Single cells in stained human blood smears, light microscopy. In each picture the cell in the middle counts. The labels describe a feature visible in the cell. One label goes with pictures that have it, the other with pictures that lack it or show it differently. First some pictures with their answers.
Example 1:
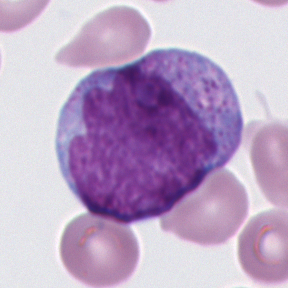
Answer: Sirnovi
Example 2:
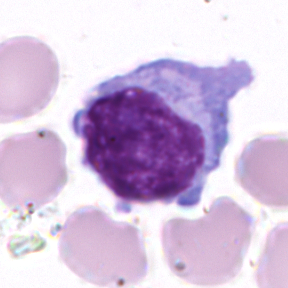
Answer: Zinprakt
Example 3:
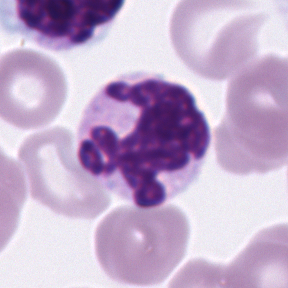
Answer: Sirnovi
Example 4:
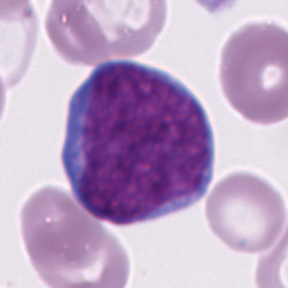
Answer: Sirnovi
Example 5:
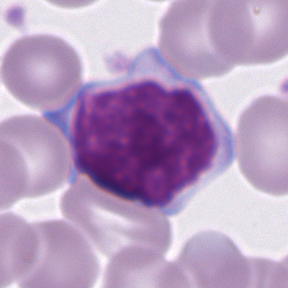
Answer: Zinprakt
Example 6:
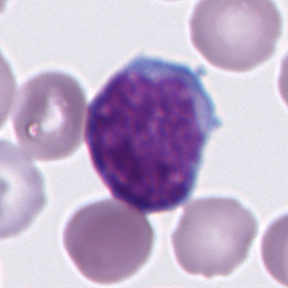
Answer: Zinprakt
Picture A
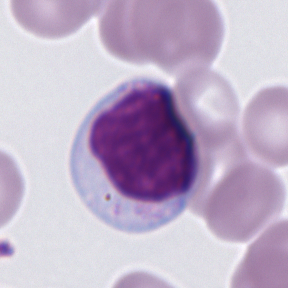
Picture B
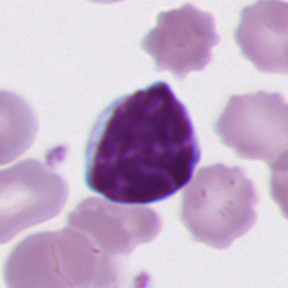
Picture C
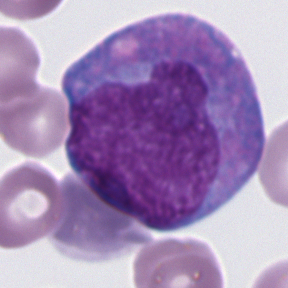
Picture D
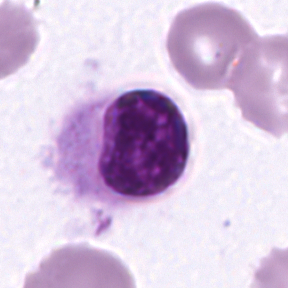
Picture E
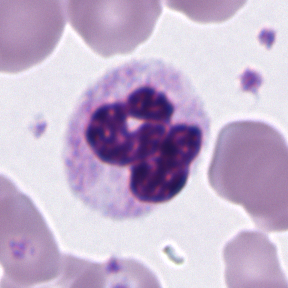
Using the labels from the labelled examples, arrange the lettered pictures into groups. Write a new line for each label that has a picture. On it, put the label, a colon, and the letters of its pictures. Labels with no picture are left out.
Sirnovi: A, B, C, E
Zinprakt: D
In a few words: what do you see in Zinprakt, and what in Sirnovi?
Zinprakt, ragged outline or projections; Sirnovi, smooth outline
